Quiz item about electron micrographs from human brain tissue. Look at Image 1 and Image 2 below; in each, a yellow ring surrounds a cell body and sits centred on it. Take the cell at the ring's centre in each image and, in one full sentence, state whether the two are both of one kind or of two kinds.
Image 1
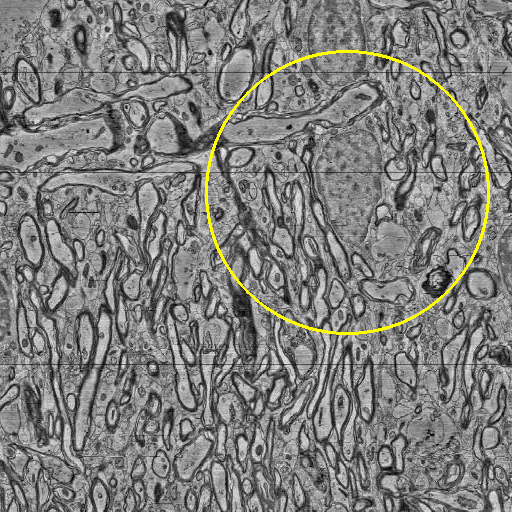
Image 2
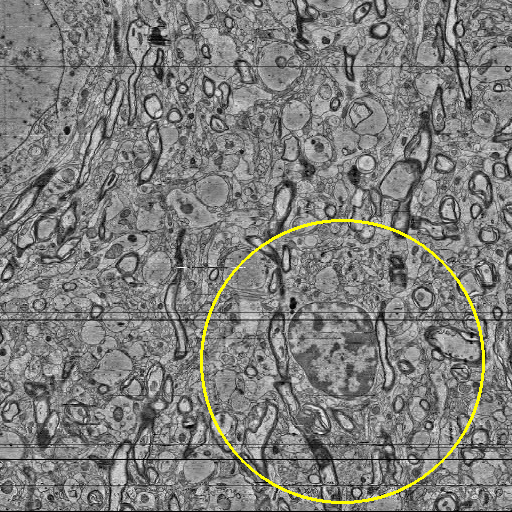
In Image 1 and Image 2, the cells at the ring centres are of two kinds.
